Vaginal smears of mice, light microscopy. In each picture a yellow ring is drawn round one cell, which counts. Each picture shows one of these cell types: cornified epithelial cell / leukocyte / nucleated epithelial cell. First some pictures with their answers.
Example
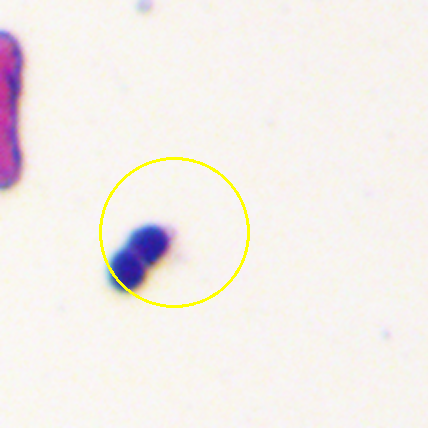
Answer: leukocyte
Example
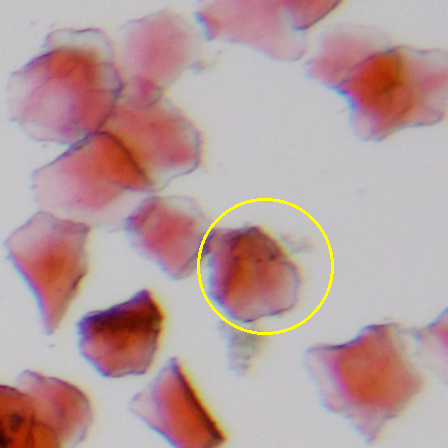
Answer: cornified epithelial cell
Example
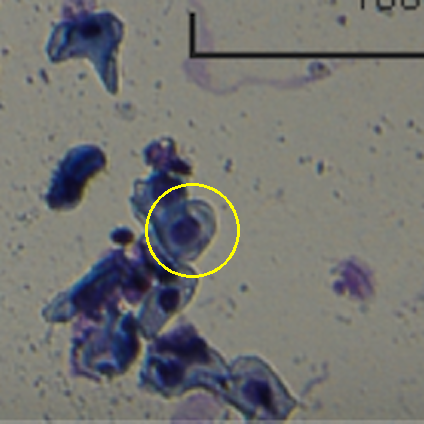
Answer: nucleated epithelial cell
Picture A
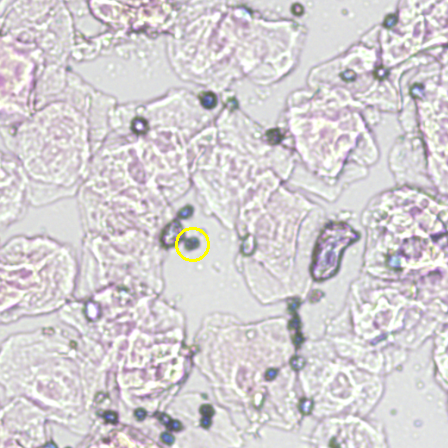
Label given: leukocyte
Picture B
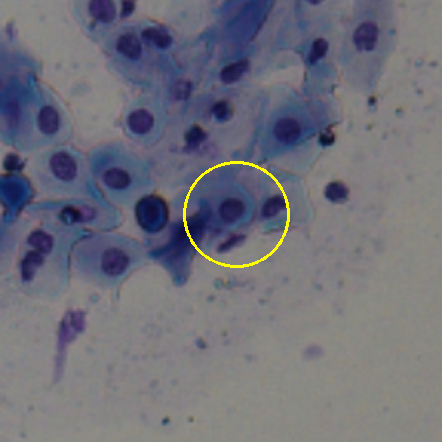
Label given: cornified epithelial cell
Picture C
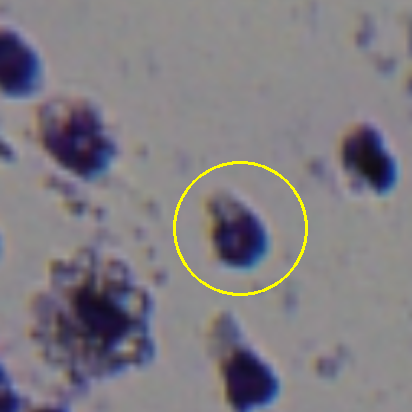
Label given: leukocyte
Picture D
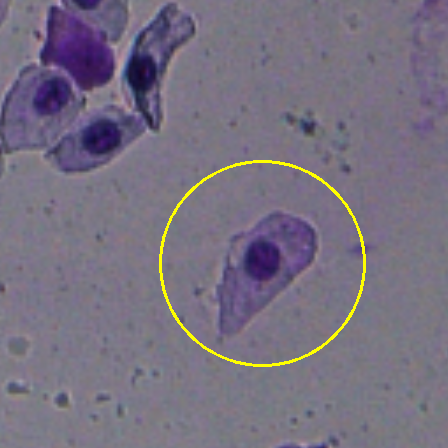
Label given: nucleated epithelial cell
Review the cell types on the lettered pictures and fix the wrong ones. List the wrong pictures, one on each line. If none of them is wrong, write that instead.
B should be nucleated epithelial cell, not cornified epithelial cell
